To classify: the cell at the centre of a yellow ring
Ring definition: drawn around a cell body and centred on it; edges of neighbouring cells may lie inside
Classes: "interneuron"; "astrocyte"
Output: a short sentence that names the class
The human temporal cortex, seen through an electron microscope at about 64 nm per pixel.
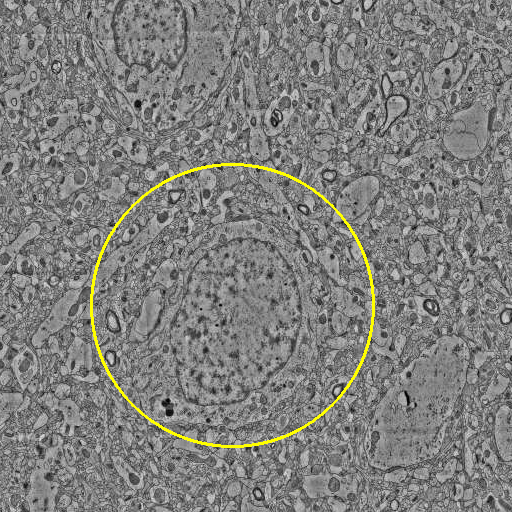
The ringed cell is an interneuron.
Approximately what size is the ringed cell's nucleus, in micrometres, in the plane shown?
In this plane the nucleus measures roughly 11 by 8 micrometres.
